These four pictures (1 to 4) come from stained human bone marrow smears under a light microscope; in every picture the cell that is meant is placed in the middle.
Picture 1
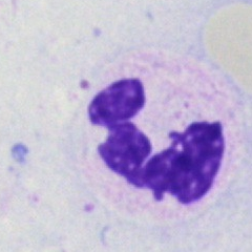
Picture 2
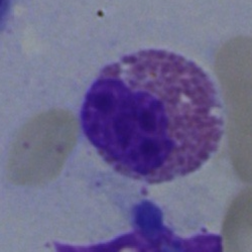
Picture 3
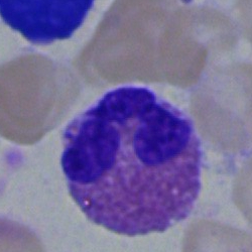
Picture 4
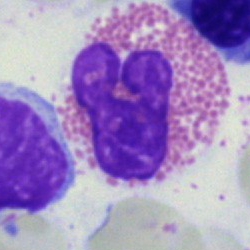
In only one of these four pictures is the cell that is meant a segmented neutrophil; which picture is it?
1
